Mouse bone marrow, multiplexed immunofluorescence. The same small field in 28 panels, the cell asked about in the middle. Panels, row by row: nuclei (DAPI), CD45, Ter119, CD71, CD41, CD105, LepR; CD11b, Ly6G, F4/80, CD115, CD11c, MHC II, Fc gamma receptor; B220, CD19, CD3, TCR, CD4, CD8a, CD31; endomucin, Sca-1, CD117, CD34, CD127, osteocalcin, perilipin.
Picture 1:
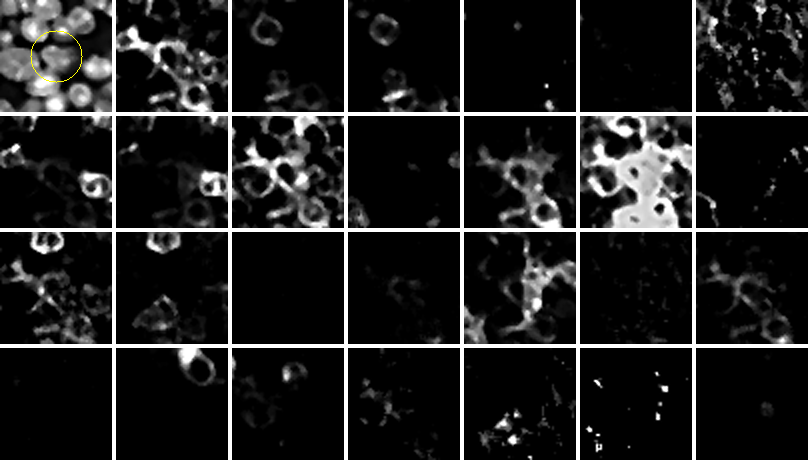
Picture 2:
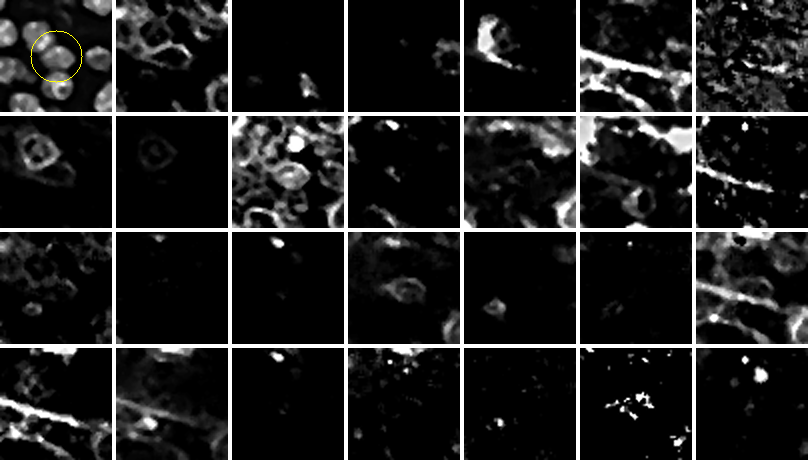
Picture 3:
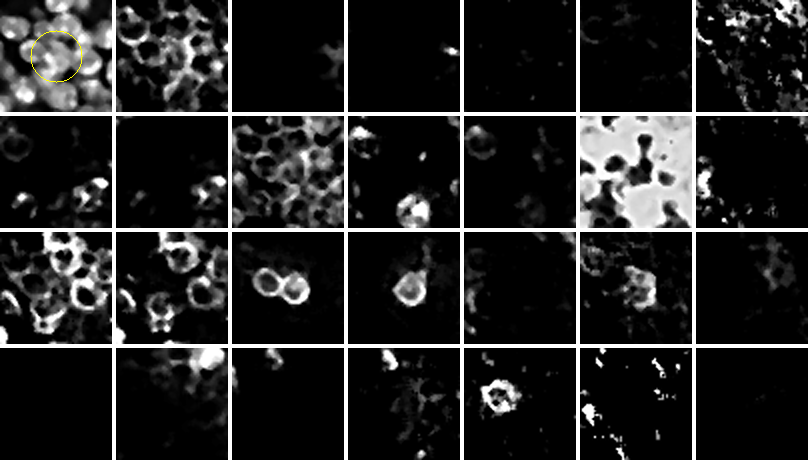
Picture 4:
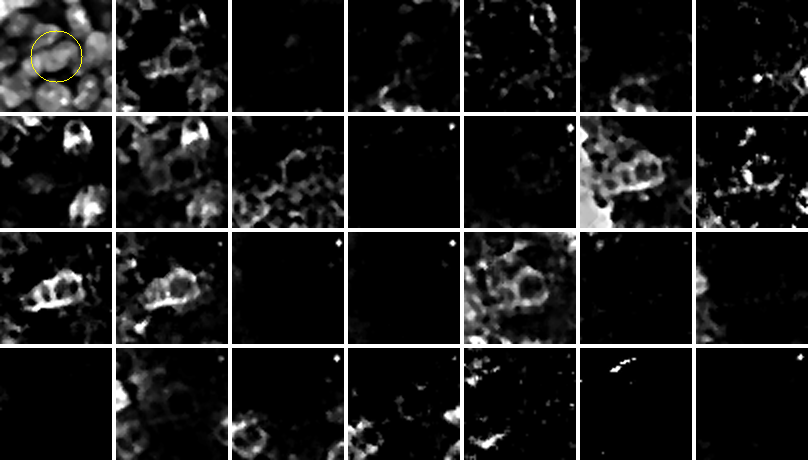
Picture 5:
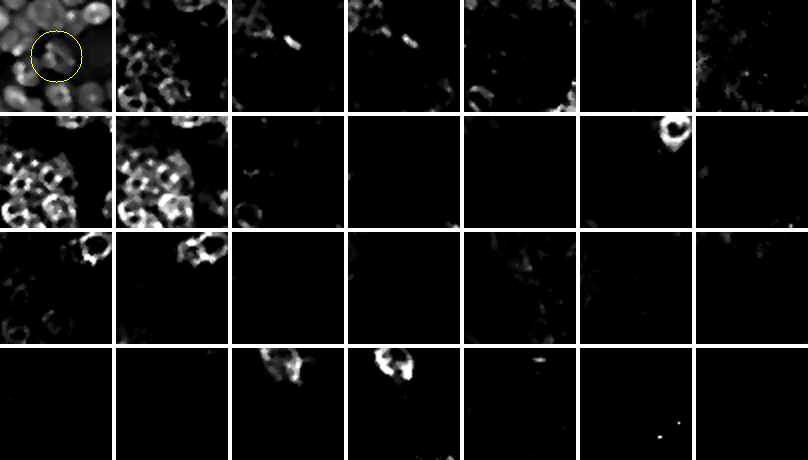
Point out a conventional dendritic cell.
That is picture 1.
